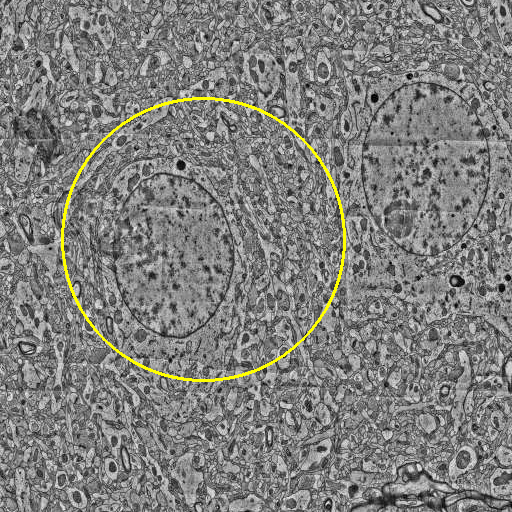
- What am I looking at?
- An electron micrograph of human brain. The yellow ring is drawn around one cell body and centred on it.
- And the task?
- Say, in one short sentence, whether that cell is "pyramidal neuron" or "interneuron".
The cell in the middle of the ring is a pyramidal neuron.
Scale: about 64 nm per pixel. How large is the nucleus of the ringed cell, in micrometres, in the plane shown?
About 11 by 8 micrometers for the nucleus, in this plane.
